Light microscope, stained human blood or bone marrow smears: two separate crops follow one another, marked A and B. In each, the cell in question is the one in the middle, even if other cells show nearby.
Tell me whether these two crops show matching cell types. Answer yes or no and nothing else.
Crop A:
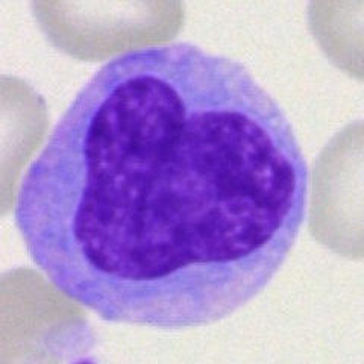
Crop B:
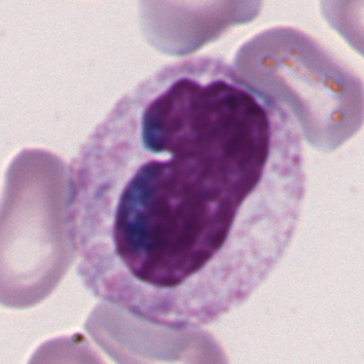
no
